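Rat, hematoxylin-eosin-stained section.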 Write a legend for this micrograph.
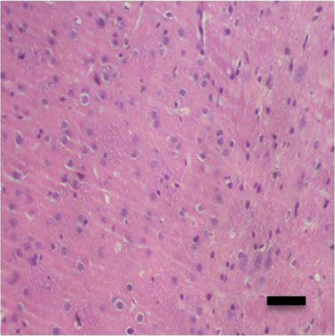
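This is brain tissue of ordinary appearance, stained pink with purple nuclei. The background is an evenly pink, finely textured tissue. Small round-to-oval purple nuclei are scattered fairly evenly across the field. Some nuclei are surrounded by a thin pale rim. No large pink mass, pale spots or dark deposits are seen.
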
